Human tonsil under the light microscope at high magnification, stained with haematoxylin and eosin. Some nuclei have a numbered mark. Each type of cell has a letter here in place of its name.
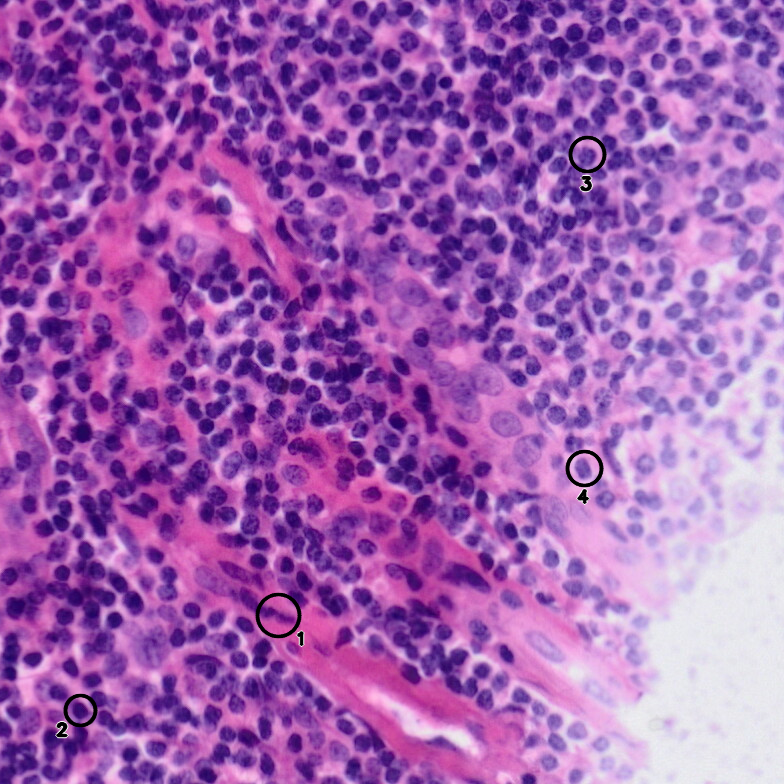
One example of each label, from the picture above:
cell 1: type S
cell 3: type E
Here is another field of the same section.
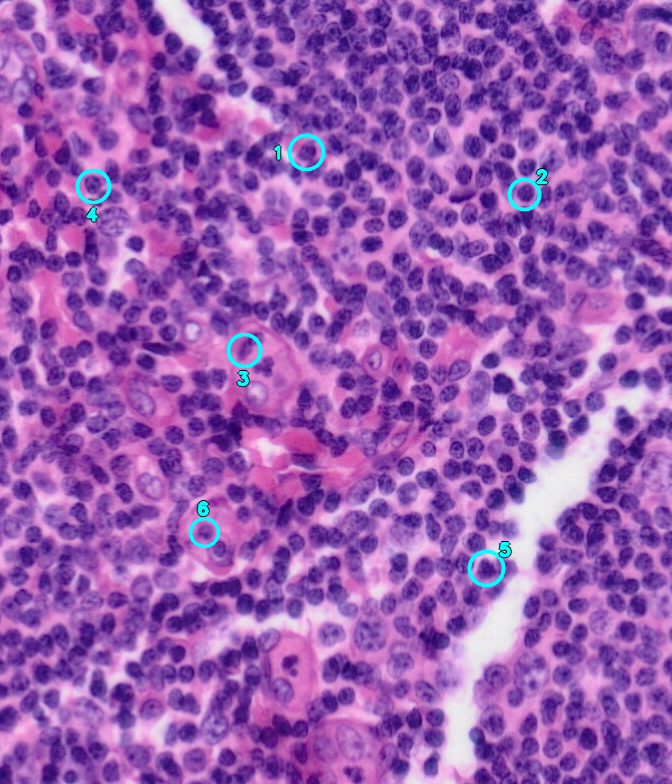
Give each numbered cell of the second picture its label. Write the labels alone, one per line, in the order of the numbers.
type E
type E
type S
type E
type E
type S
